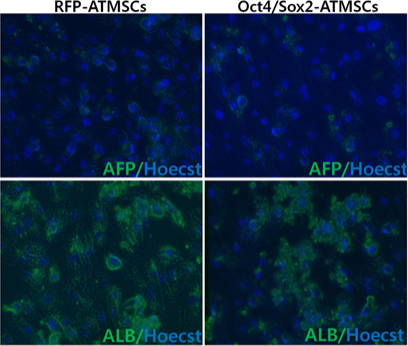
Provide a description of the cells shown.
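This is a block of four fluorescence images of cultured cells, each showing many small blue nuclei scattered across the field. In the upper two images the green signal is faint and lies as small patches around some of the nuclei. In the lower two images the green signal is much brighter and fills the cytoplasm of many cells. There, the cells form irregular clusters with rounded to polygonal outlines, and each cluster holds several nuclei. Between the clusters lie darker areas with fewer cells.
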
